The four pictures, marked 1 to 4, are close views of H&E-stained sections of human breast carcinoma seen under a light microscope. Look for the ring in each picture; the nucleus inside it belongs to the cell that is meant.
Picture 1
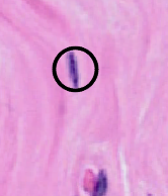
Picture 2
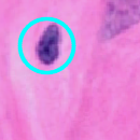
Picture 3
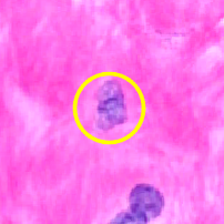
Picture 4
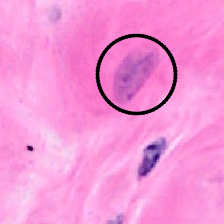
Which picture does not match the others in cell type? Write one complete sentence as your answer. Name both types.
The different one is picture 2; it shows a lymphocyte, whereas all the others show fibroblasts.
